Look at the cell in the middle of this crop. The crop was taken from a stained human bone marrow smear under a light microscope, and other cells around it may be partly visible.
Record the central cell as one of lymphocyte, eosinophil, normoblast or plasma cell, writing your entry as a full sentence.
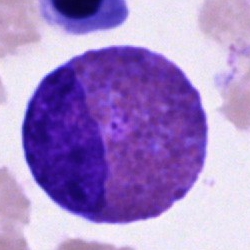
The cell featured at the centre of this crop is an eosinophil.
